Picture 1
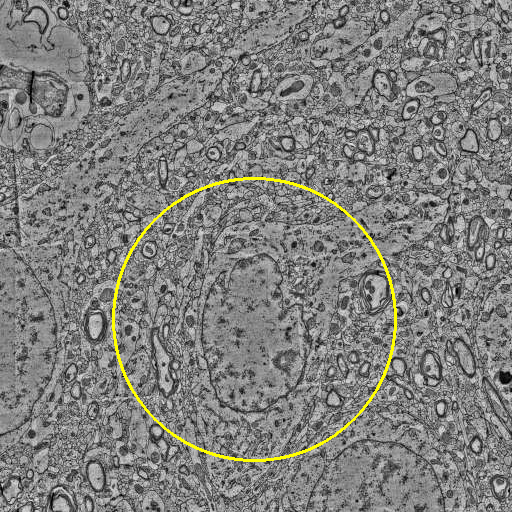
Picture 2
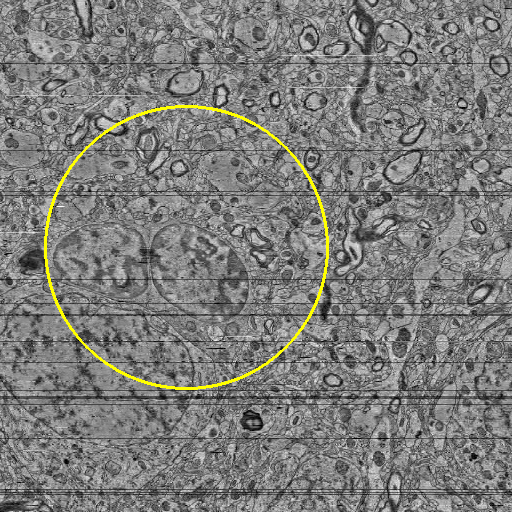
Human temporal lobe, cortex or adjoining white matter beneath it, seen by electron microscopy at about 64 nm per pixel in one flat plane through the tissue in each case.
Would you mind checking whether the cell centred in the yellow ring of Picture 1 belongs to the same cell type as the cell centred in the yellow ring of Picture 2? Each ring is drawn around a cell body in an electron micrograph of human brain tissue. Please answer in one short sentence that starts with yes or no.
No, the two cells are of two types.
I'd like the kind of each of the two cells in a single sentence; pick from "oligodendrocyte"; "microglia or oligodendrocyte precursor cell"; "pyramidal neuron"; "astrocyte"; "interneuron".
The first ring marks a pyramidal neuron, and the second ring marks an oligodendrocyte.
